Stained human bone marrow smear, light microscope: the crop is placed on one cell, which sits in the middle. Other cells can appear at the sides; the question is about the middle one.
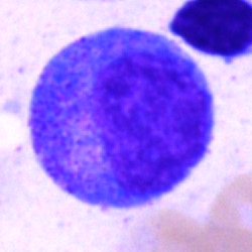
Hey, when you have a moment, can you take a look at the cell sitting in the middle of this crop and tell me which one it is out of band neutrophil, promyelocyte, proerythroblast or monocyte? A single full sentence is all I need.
The cell marked by its central position in the crop is a promyelocyte.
